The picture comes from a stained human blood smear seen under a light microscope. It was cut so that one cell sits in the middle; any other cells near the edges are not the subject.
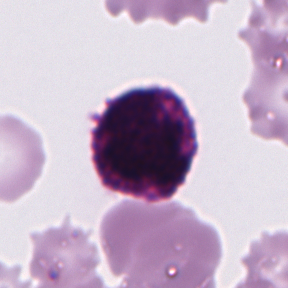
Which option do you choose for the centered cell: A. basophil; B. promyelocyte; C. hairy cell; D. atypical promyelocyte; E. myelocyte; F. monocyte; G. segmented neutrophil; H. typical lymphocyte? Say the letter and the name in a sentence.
The correct option here is A; the middle cell is a basophil.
